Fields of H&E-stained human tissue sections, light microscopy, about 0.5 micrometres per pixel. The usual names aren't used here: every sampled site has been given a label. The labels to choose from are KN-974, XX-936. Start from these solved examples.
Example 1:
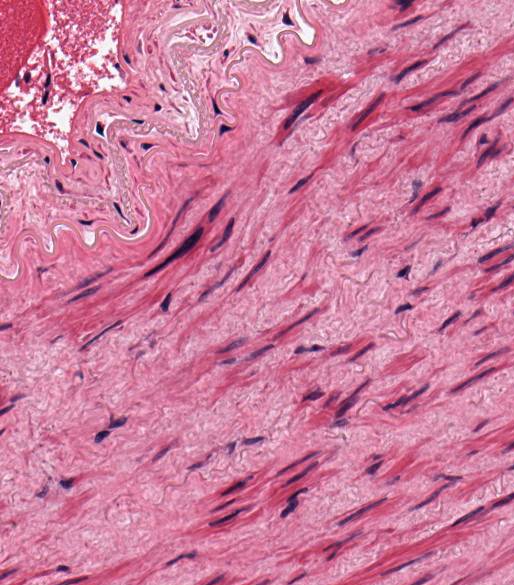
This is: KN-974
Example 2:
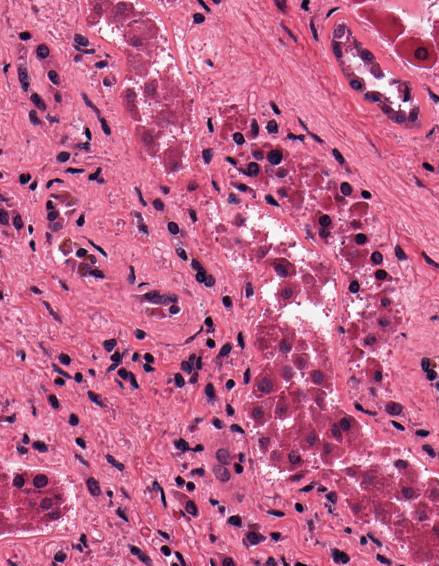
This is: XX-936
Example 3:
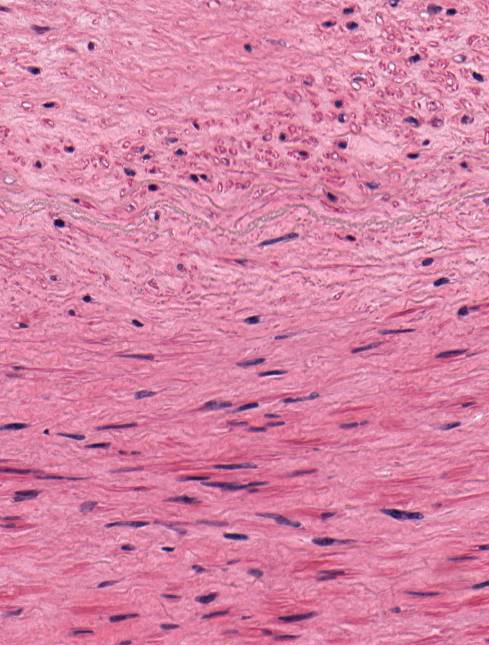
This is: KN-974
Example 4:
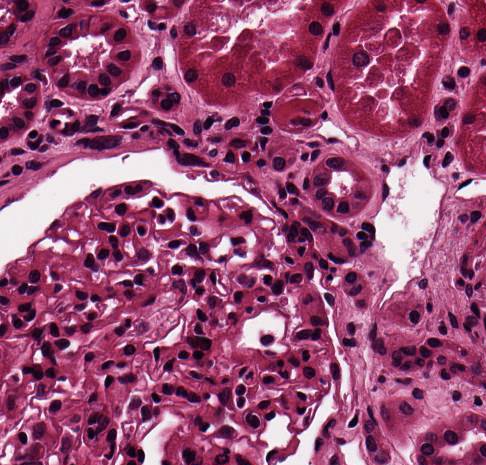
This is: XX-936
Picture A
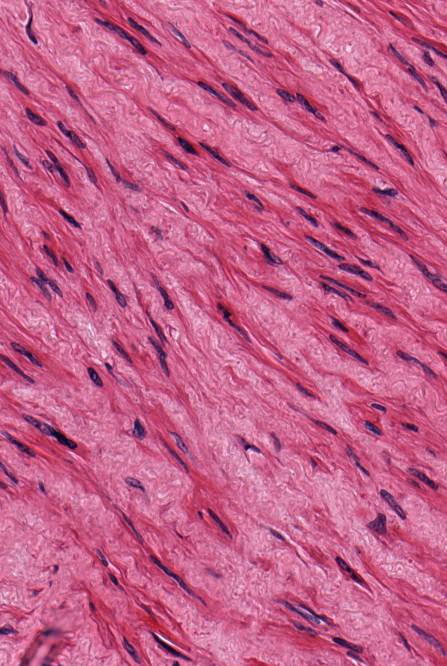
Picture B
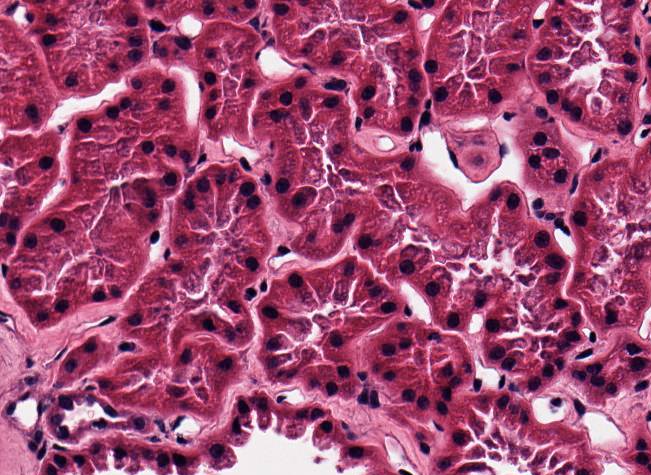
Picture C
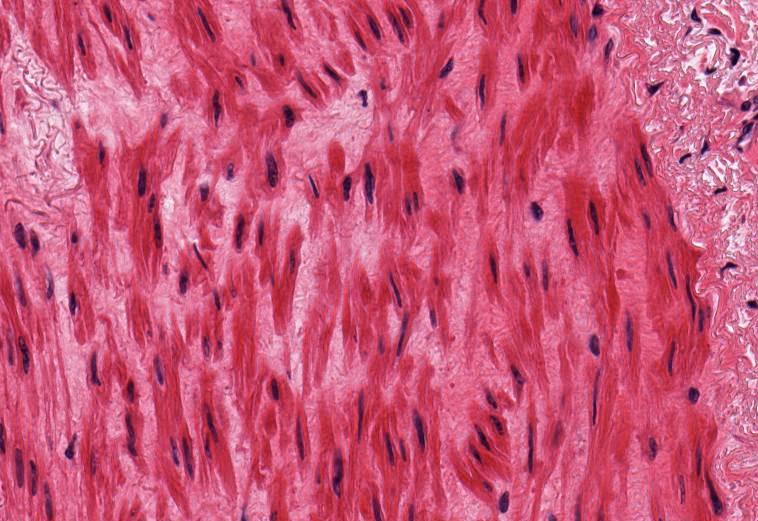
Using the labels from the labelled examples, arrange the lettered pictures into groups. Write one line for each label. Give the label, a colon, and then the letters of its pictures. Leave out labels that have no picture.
KN-974: A, C
XX-936: B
